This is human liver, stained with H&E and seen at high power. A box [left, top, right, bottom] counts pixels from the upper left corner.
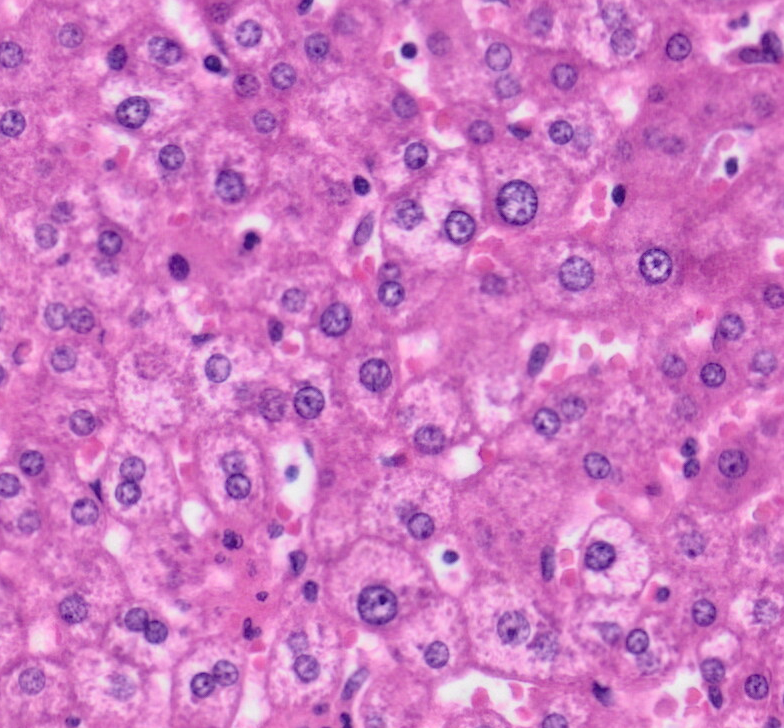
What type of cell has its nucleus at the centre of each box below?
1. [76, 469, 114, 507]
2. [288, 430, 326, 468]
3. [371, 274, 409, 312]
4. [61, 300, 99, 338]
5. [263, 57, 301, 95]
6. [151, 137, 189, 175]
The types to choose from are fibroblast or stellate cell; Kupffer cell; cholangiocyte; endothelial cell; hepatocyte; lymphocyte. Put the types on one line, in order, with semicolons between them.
fibroblast or stellate cell; endothelial cell; hepatocyte; hepatocyte; hepatocyte; hepatocyte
